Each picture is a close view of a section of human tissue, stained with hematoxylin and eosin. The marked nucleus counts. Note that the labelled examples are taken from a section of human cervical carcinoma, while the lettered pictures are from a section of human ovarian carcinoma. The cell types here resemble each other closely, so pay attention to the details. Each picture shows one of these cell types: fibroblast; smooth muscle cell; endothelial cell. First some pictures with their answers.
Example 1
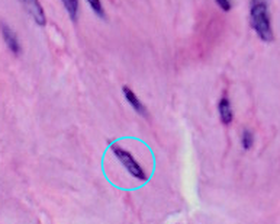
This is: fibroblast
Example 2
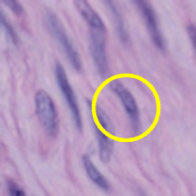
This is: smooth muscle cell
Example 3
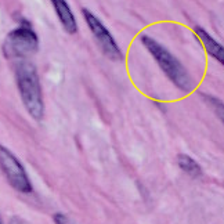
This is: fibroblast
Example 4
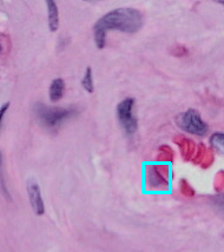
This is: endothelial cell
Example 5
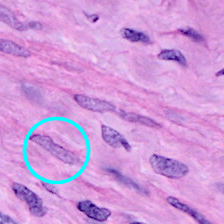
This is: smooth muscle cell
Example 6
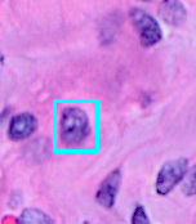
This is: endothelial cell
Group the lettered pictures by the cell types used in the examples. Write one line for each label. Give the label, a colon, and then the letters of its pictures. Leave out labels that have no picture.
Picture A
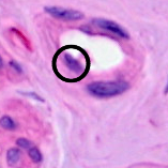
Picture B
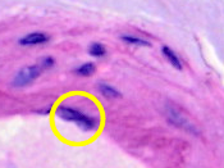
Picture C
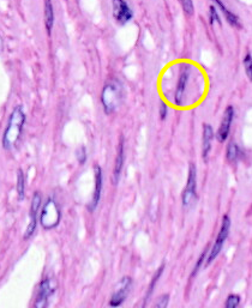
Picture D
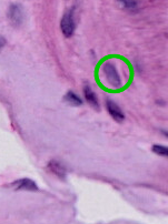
fibroblast: C
smooth muscle cell: D
endothelial cell: A, B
